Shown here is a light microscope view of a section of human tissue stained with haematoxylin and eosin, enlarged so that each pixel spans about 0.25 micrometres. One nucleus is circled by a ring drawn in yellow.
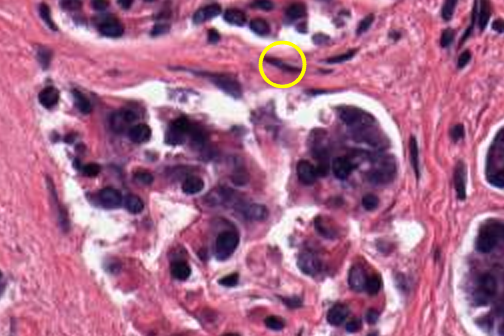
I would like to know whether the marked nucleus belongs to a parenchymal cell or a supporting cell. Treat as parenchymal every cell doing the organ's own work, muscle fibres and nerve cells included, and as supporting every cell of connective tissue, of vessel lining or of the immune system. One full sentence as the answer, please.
Here the marked nucleus is the nucleus of a supporting cell.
